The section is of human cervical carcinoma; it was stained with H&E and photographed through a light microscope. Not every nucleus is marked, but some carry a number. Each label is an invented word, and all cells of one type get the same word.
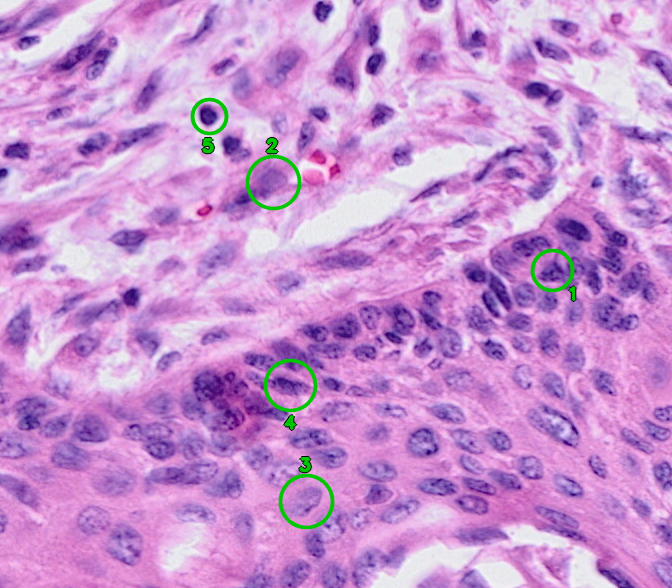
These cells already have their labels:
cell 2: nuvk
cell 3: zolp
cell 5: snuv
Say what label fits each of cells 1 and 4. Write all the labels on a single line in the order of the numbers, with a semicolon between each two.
zolp; zolp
